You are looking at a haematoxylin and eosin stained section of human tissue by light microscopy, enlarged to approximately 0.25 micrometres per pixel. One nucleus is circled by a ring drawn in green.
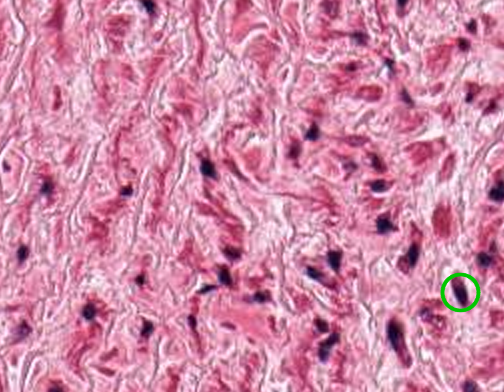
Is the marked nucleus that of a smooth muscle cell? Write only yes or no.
yes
